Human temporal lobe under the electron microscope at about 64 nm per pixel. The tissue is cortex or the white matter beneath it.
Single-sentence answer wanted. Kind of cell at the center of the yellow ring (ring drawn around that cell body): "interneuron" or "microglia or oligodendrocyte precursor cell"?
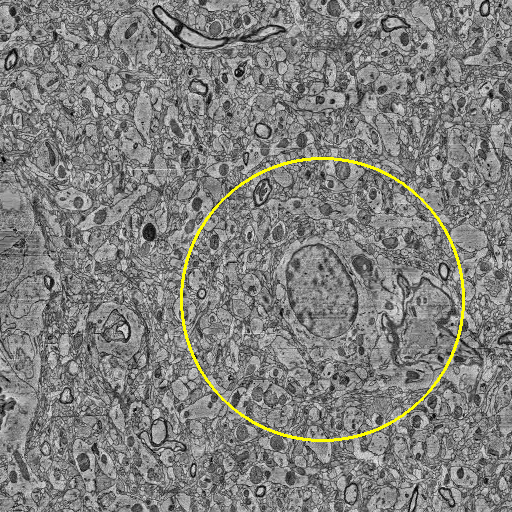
The cell centered in the ring is a microglial cell or oligodendrocyte precursor cell.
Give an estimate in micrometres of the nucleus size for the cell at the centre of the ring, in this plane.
Roughly 6 by 4 micrometres; in this plane, clearly longer than it is wide.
